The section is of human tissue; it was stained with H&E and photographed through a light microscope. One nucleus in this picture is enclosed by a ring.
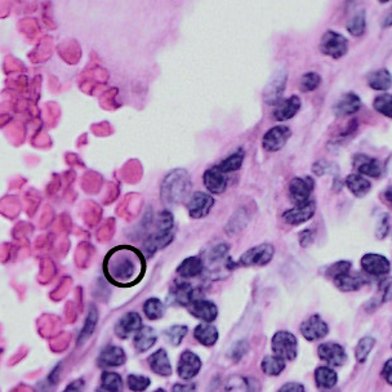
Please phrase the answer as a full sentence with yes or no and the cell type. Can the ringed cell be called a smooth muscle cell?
No, the ringed cell is not a smooth muscle cell but a lymphocyte.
